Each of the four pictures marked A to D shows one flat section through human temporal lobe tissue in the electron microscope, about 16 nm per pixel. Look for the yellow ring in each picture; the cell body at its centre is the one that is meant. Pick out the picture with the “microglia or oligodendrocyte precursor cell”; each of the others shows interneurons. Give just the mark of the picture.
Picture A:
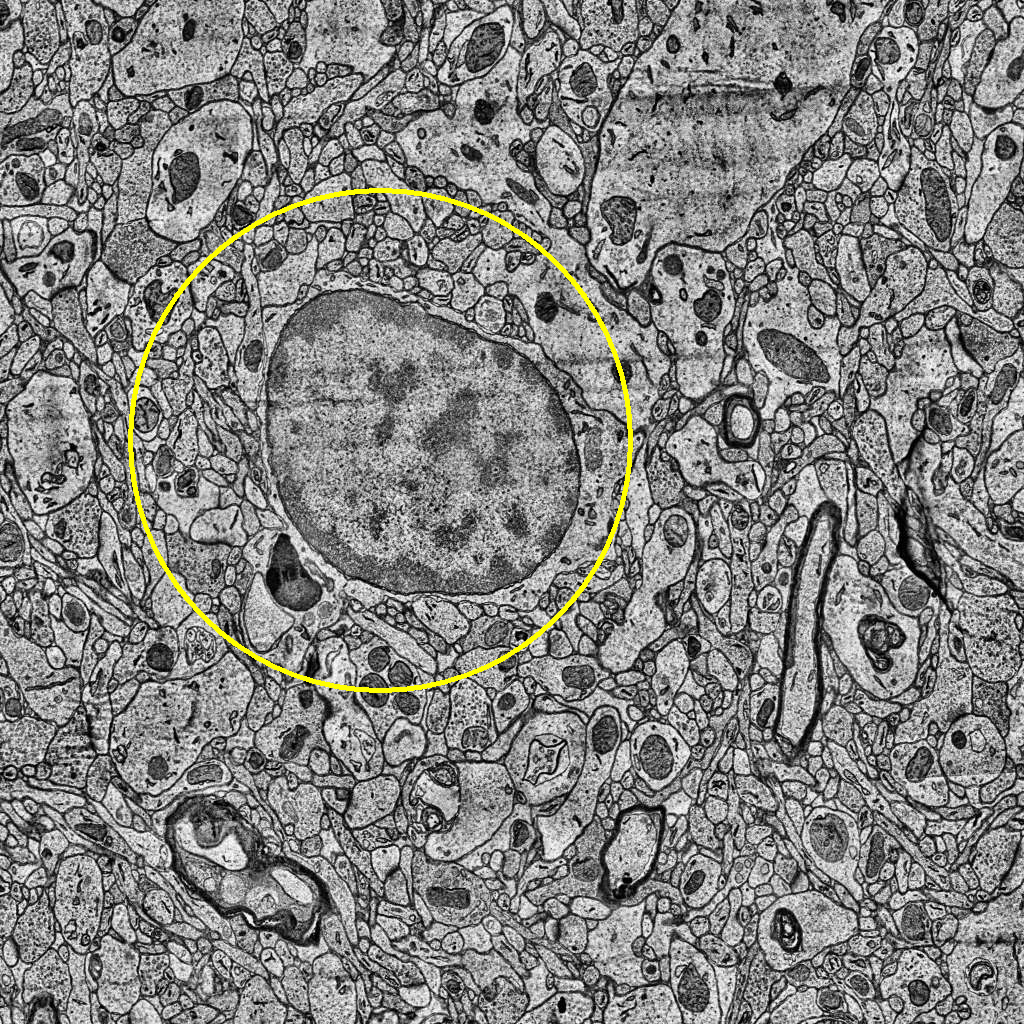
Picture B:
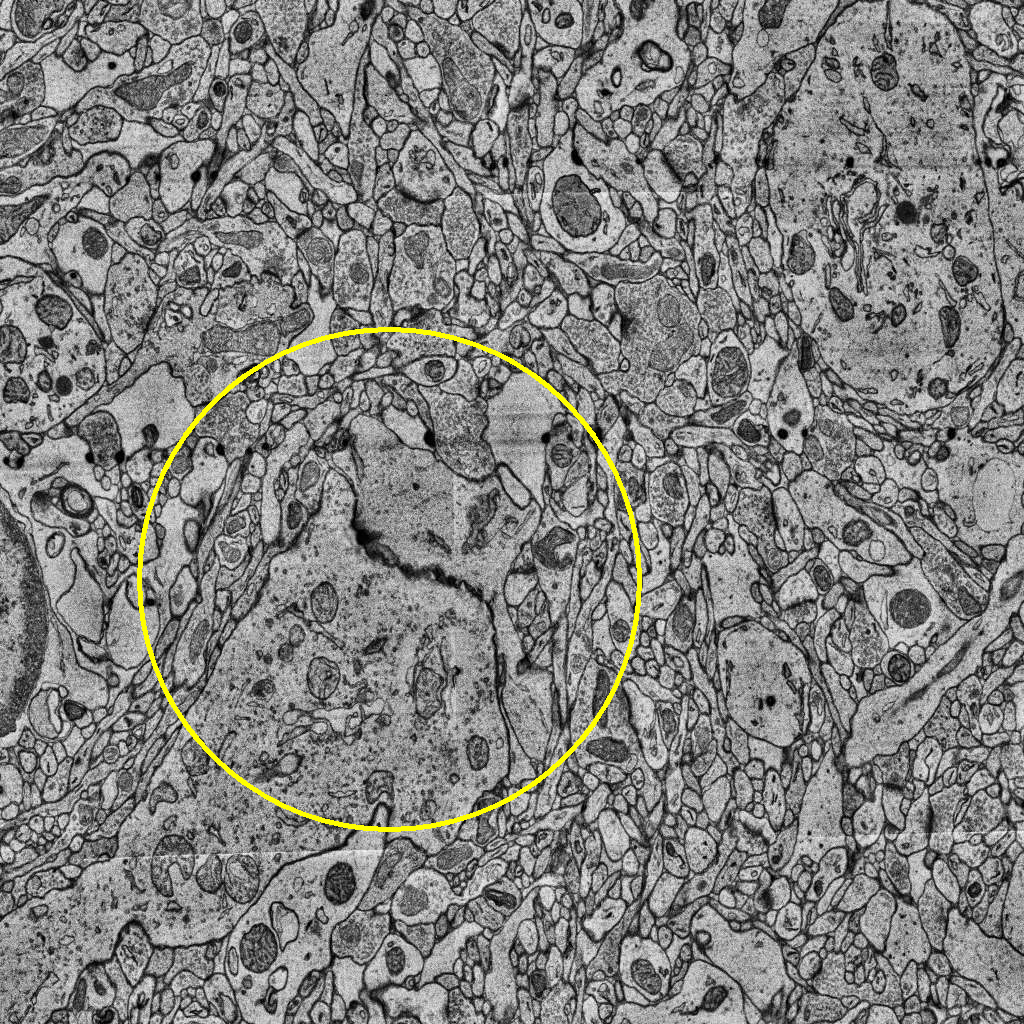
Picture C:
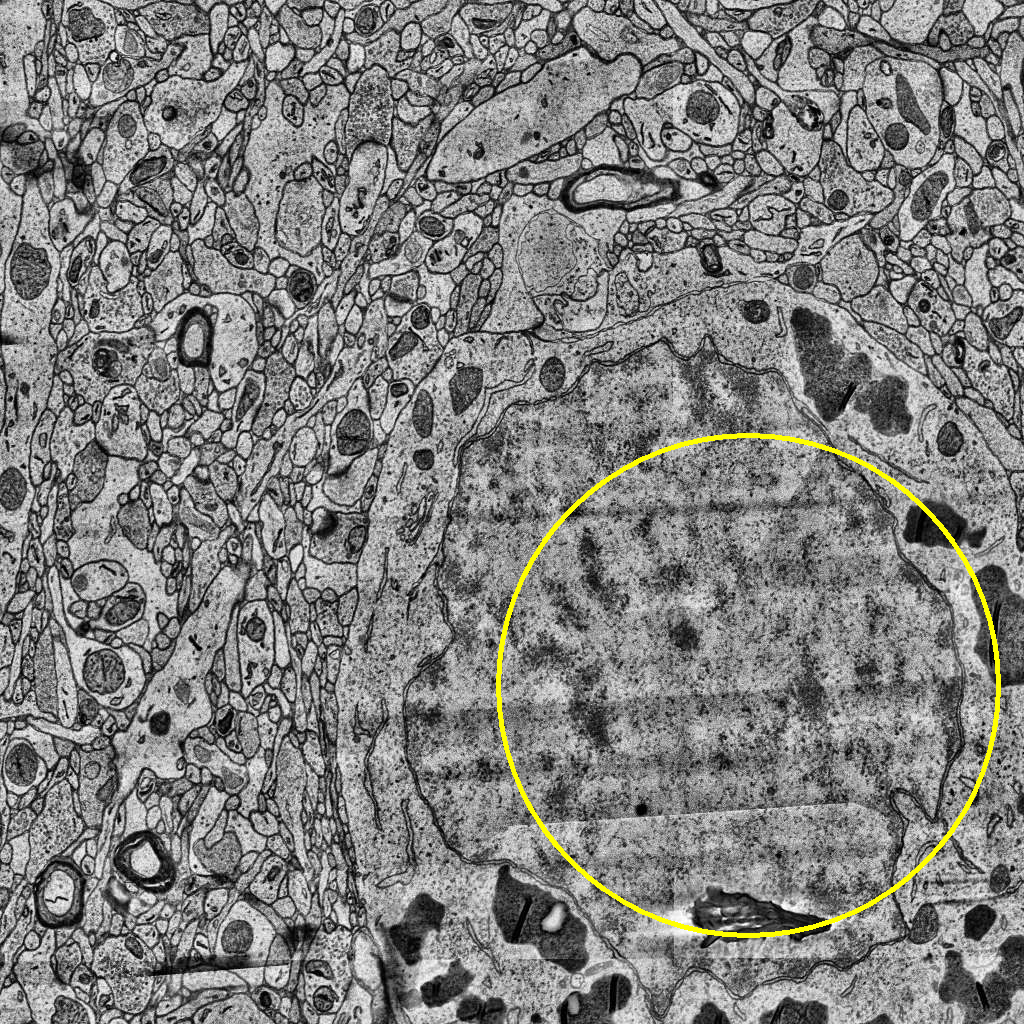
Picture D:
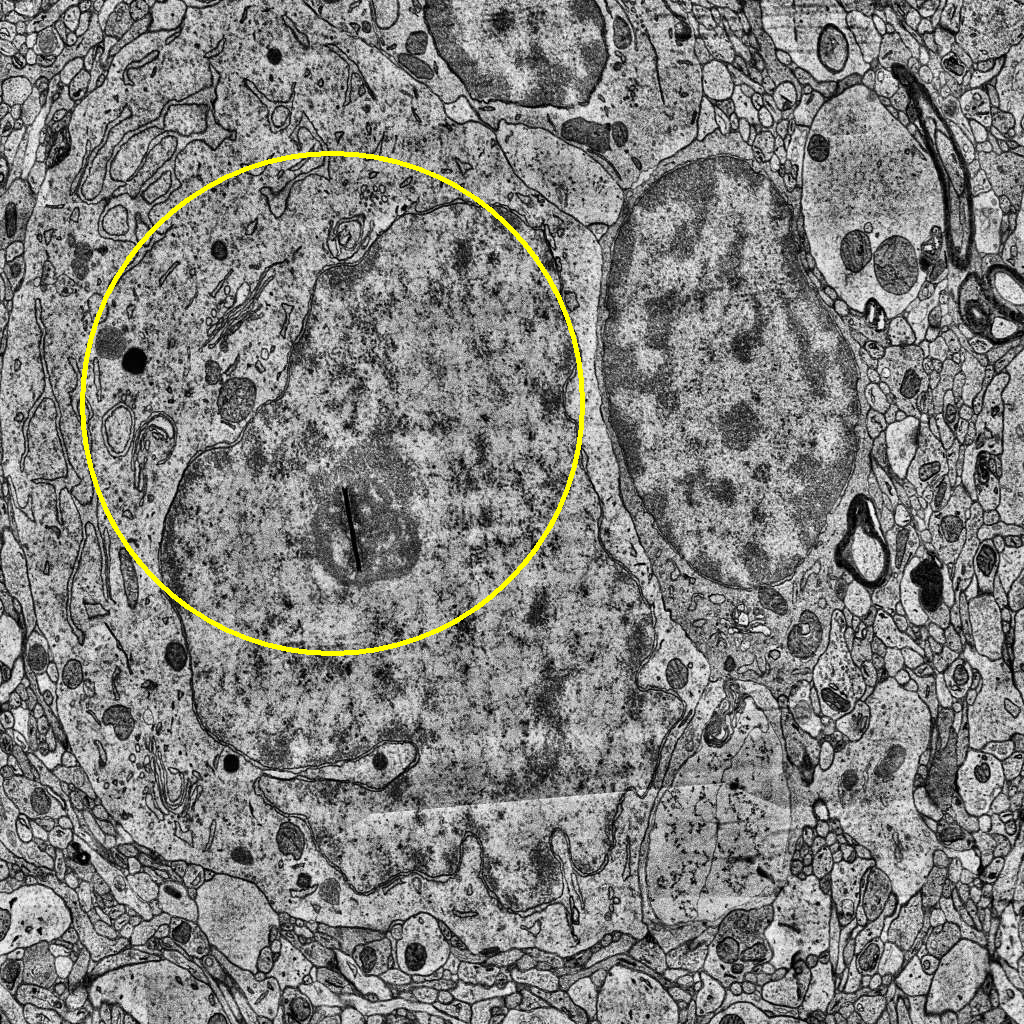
A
